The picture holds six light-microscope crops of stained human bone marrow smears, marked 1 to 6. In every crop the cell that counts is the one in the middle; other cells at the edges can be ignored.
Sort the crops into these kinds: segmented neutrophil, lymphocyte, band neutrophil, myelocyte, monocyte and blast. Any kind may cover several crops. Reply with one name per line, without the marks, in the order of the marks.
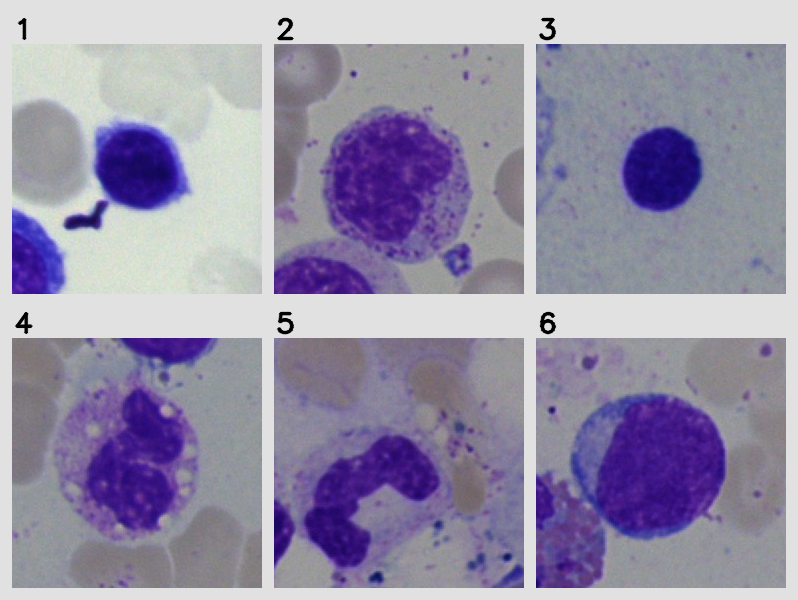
lymphocyte
myelocyte
lymphocyte
band neutrophil
segmented neutrophil
blast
